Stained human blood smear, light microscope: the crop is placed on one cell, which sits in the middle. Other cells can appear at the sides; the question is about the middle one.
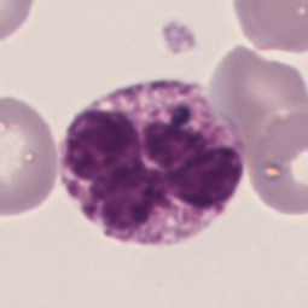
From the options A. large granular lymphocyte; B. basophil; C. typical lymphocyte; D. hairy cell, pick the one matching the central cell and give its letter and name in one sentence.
The middle cell of the crop is a basophil; accordingly, option B is correct.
